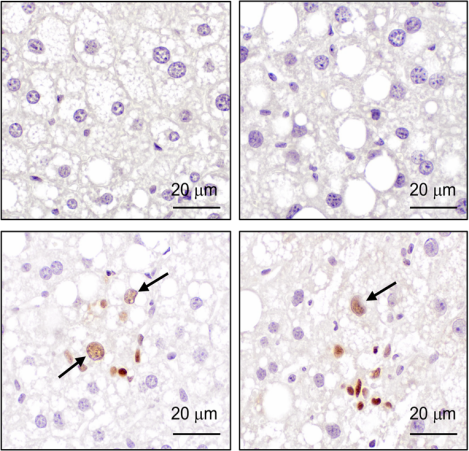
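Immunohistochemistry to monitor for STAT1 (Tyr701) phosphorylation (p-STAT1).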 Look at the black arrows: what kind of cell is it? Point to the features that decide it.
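The arrowed cells are large cells with a large round nucleus stained brown. They lie among polygonal cells with pale, vacuolated cytoplasm. The answer: hepatocytes.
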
